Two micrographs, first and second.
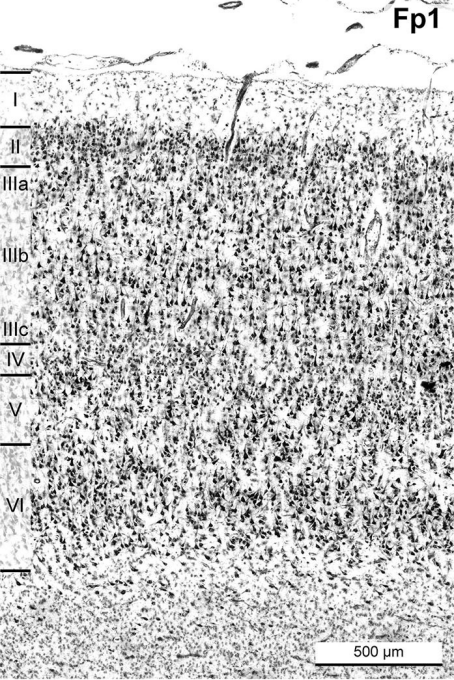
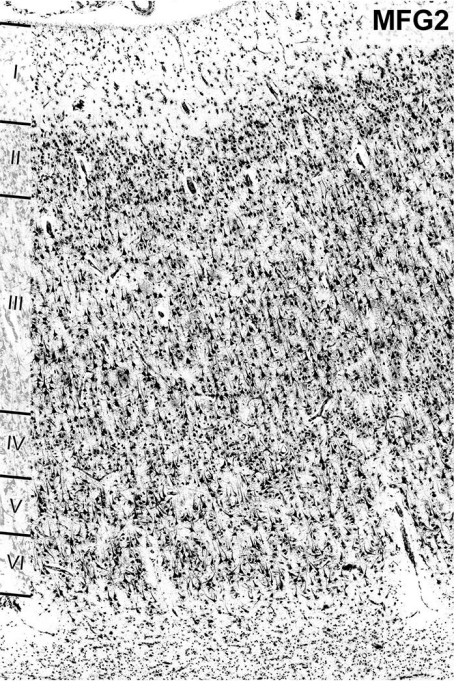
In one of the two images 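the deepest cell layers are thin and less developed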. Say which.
the second image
